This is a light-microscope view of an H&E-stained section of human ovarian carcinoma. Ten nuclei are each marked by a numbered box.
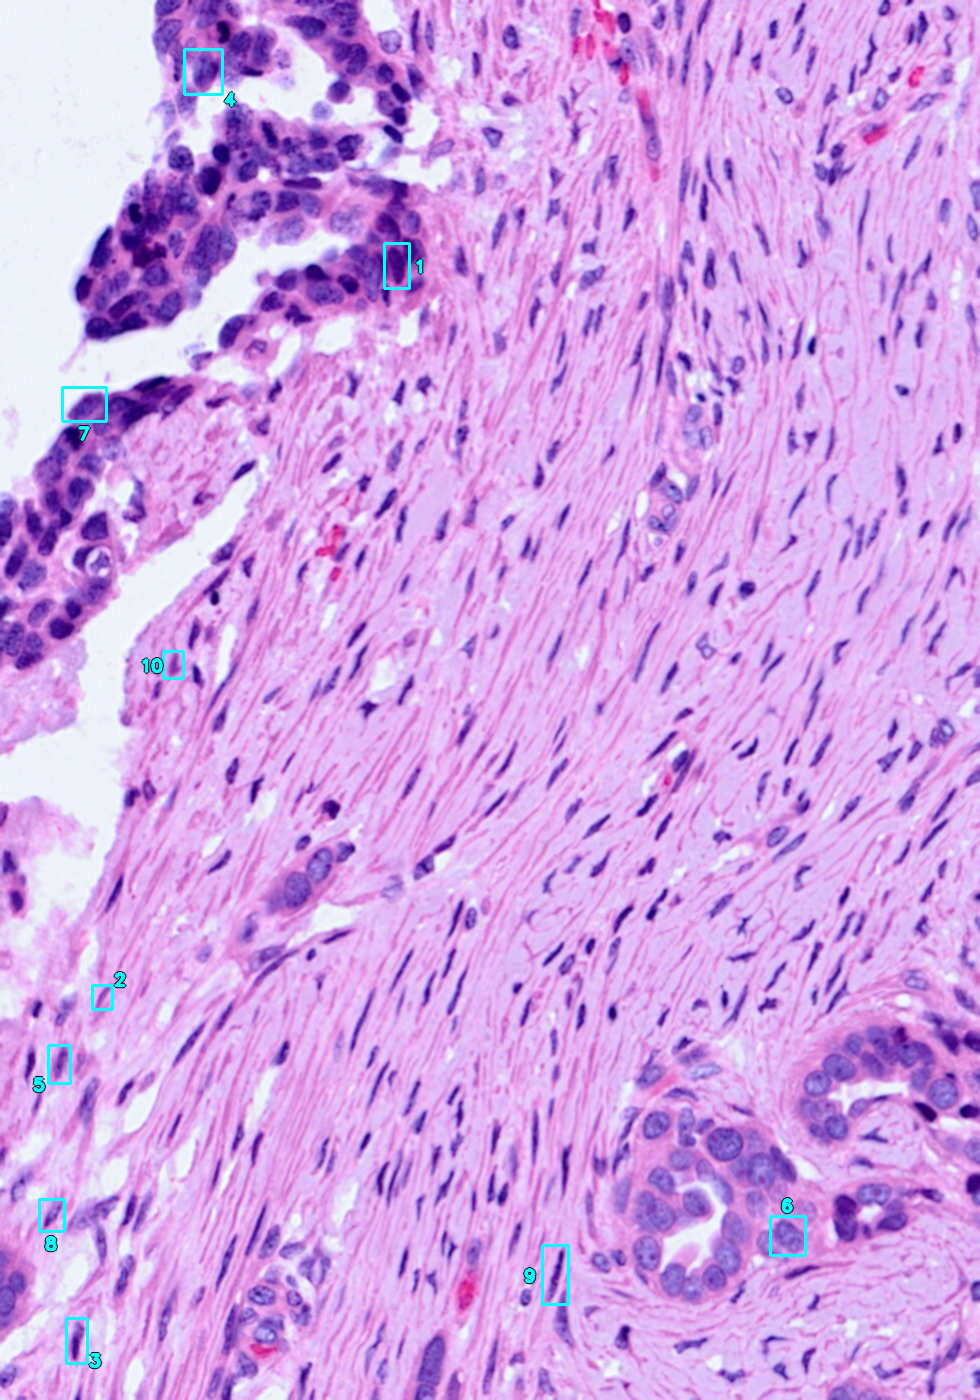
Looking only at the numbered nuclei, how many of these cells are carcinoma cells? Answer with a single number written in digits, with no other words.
4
